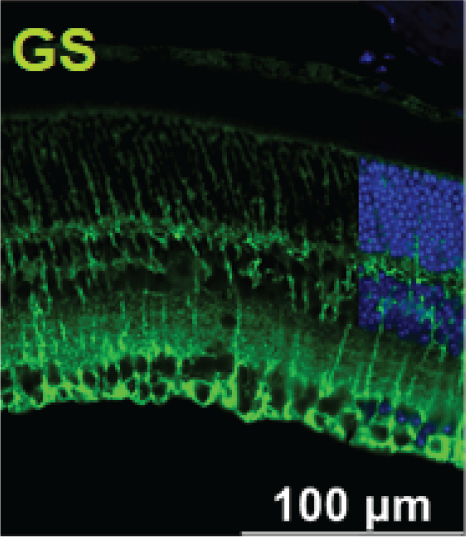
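A section of retina in which the radial glial cells are shown in green, their slender fibres running across the whole thickness of the retina. The fibres pass between the nuclear layers, whose densely packed nuclei show blue where the counterstain is visible at one edge, and broaden at the inner surface into end-feet that merge into a bright continuous band.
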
